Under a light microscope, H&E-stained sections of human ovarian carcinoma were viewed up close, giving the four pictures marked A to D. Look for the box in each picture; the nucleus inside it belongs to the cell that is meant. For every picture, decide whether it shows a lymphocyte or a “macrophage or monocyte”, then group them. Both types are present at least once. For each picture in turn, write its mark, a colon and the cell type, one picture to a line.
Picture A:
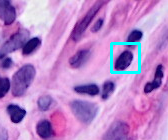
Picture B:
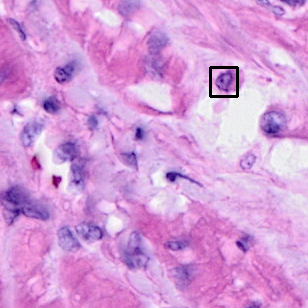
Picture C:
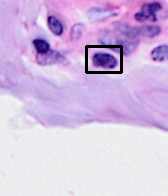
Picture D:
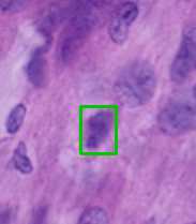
A: lymphocyte
B: macrophage or monocyte
C: lymphocyte
D: macrophage or monocyte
